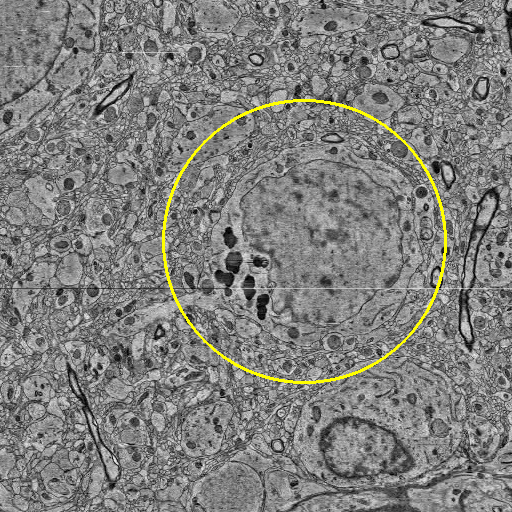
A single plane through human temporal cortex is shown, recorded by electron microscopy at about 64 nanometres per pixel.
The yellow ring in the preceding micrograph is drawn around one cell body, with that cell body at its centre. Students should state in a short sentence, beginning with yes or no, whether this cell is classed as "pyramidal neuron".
No, this cell is of another type.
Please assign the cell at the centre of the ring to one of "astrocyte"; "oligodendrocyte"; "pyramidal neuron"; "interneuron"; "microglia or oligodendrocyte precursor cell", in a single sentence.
The cell at the ring centre is an interneuron.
